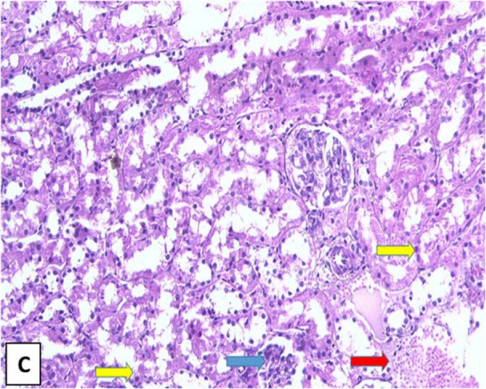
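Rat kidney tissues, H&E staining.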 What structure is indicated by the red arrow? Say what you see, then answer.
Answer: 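A collection of small red cells without nuclei at the tip of the arrow. The answer: vasculature.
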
